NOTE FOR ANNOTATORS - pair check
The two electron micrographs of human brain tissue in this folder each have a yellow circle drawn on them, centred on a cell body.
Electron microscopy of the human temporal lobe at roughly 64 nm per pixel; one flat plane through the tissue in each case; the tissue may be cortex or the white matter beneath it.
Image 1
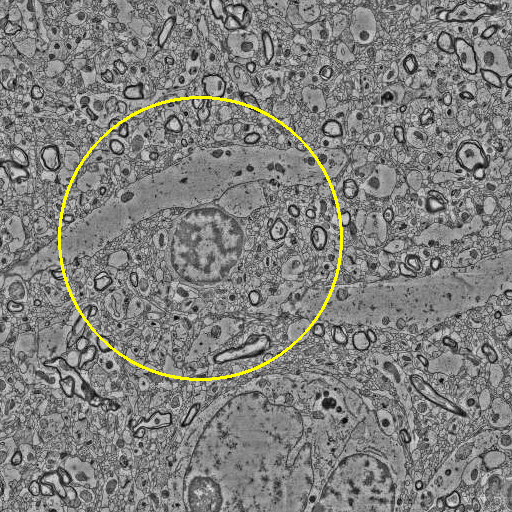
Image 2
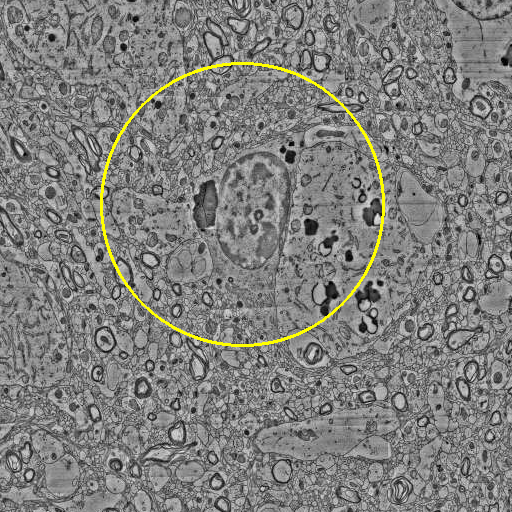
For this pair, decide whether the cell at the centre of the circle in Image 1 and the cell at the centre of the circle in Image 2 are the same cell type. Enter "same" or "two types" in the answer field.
same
